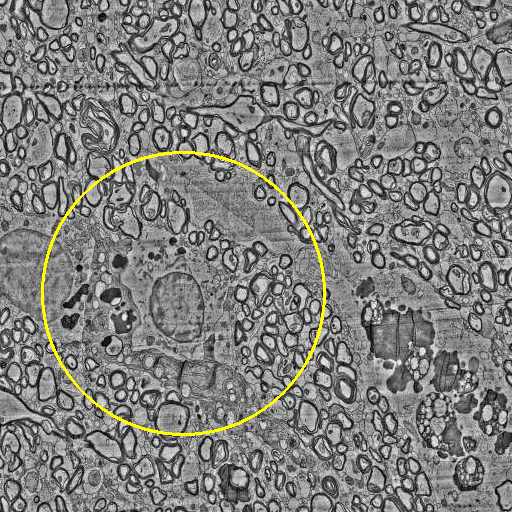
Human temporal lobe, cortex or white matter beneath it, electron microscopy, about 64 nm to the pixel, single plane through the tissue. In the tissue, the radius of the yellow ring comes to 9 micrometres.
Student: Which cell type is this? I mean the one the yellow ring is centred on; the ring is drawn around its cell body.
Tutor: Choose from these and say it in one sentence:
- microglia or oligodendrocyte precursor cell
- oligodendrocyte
The cell the ring is centred on is a microglial cell or oligodendrocyte precursor cell.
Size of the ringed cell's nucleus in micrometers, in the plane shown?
Approximately 5 x 3 micrometres in this plane.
